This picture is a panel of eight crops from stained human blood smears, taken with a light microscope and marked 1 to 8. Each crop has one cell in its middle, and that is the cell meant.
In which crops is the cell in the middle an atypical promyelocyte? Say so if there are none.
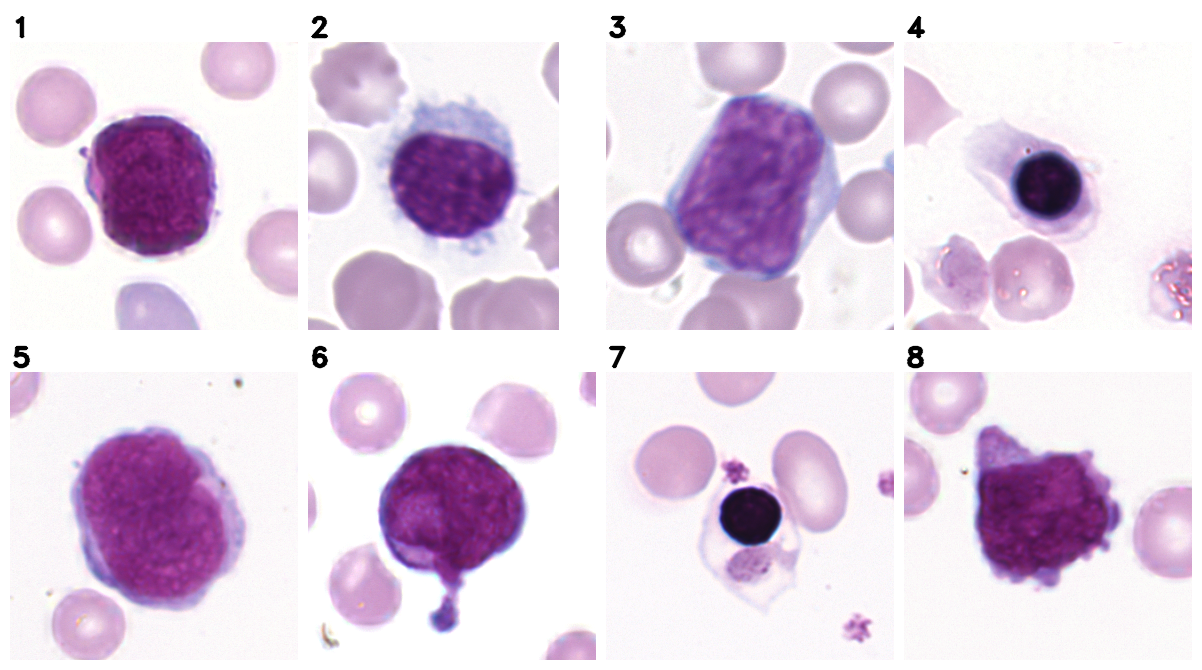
1, 5, 6, 8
